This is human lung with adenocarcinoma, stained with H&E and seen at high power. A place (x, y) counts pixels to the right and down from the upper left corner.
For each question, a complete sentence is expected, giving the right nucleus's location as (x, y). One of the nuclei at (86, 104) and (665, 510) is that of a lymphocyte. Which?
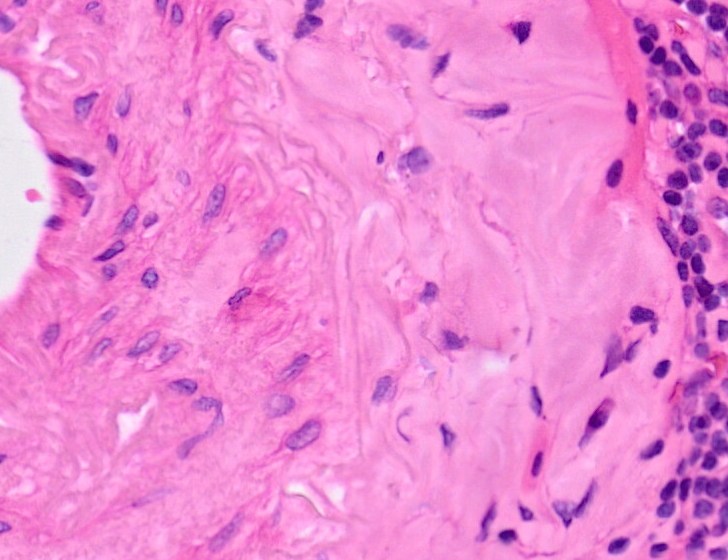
The nucleus of a lymphocyte is the one found at (665, 510), not the other.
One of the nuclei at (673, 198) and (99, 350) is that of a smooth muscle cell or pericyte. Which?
The pair contains one nucleus of a smooth muscle cell or pericyte, namely the one at (99, 350).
